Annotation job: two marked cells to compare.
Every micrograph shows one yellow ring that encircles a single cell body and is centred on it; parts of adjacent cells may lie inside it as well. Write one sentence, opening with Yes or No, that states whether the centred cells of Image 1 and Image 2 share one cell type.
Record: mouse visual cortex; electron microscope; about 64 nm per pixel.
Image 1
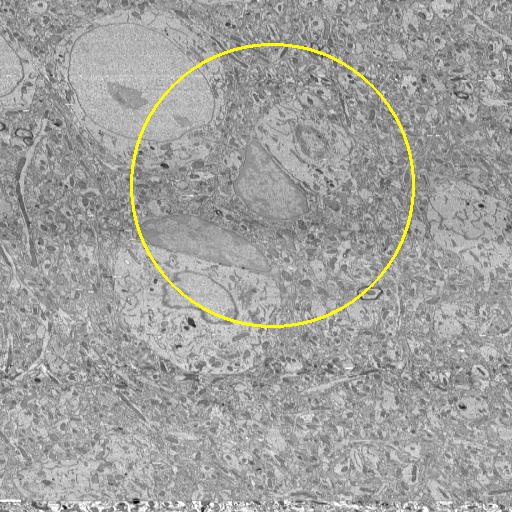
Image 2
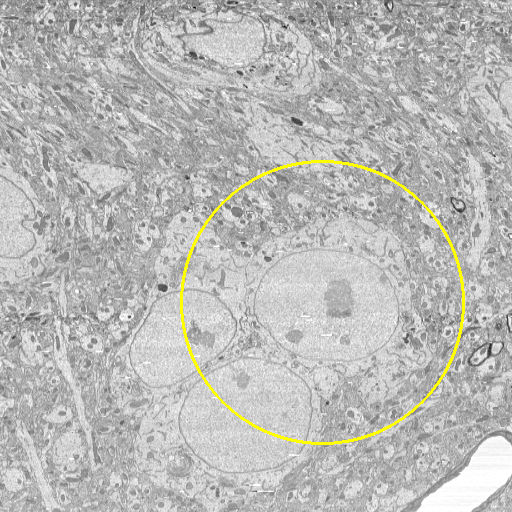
No, the cell centred in Image 1 and the cell centred in Image 2 are of two types.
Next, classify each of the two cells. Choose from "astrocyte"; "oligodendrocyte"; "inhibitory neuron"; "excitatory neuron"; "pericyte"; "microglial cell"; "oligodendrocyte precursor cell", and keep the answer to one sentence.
In the first picture it is a microglial cell; in the second it is an excitatory neuron.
